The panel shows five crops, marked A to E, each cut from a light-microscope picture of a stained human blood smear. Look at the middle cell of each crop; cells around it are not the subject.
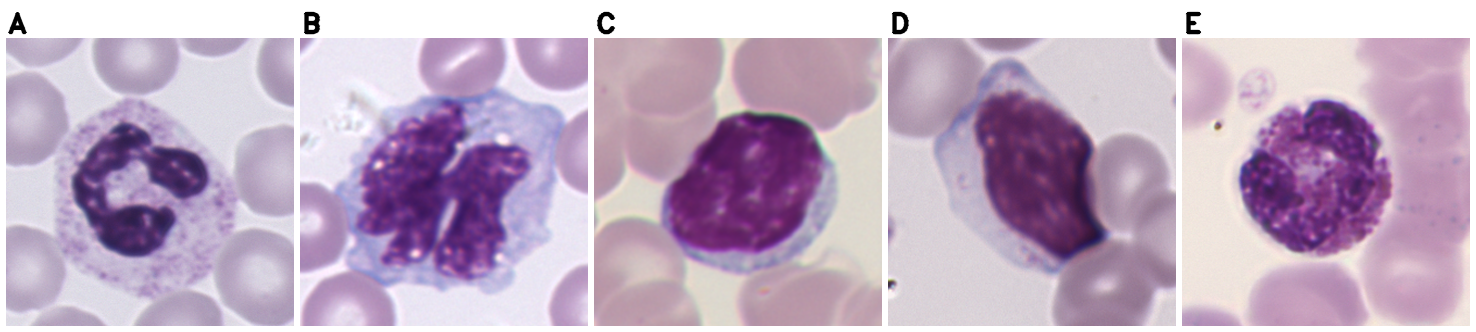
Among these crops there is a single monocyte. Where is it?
B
